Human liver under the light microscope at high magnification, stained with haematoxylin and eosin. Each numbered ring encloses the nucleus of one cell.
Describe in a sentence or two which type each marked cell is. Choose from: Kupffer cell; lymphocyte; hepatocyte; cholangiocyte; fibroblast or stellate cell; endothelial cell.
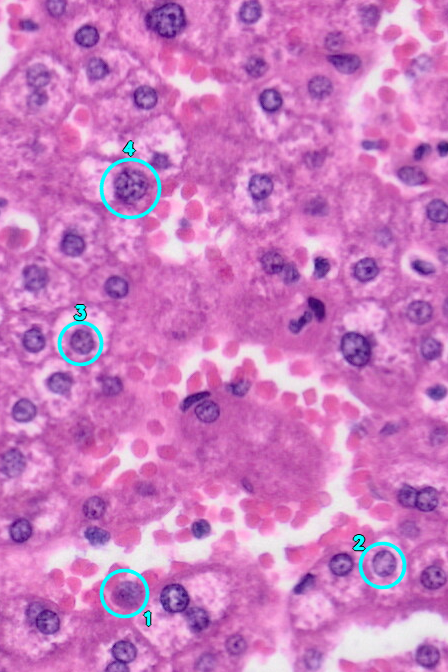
Cell 1 is an endothelial cell. Cells 2, 3 and 4 are hepatocytes.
